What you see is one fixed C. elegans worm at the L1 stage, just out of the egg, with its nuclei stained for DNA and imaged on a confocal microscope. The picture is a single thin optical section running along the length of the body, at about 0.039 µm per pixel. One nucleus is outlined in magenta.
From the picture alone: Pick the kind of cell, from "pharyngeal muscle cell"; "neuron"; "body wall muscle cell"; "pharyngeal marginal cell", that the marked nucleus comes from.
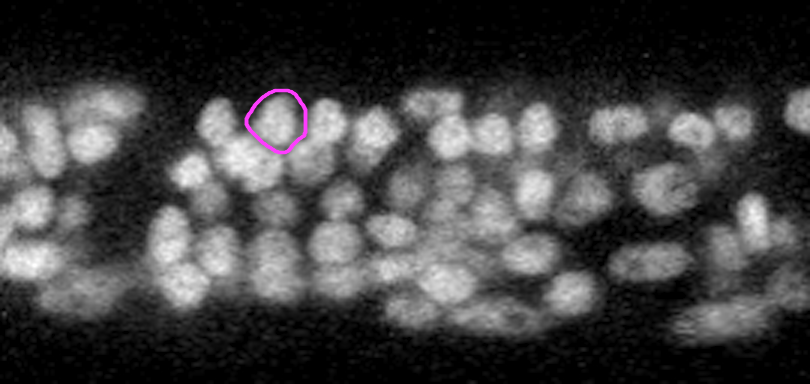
neuron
